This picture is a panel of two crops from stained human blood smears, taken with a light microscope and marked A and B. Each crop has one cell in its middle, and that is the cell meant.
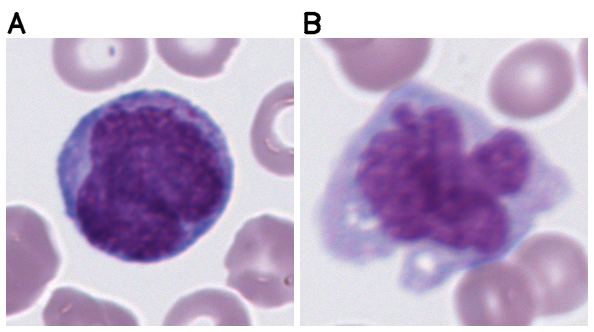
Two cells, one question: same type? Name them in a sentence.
No, crop A presents an atypical promyelocyte, whereas crop B presents a monocyte.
